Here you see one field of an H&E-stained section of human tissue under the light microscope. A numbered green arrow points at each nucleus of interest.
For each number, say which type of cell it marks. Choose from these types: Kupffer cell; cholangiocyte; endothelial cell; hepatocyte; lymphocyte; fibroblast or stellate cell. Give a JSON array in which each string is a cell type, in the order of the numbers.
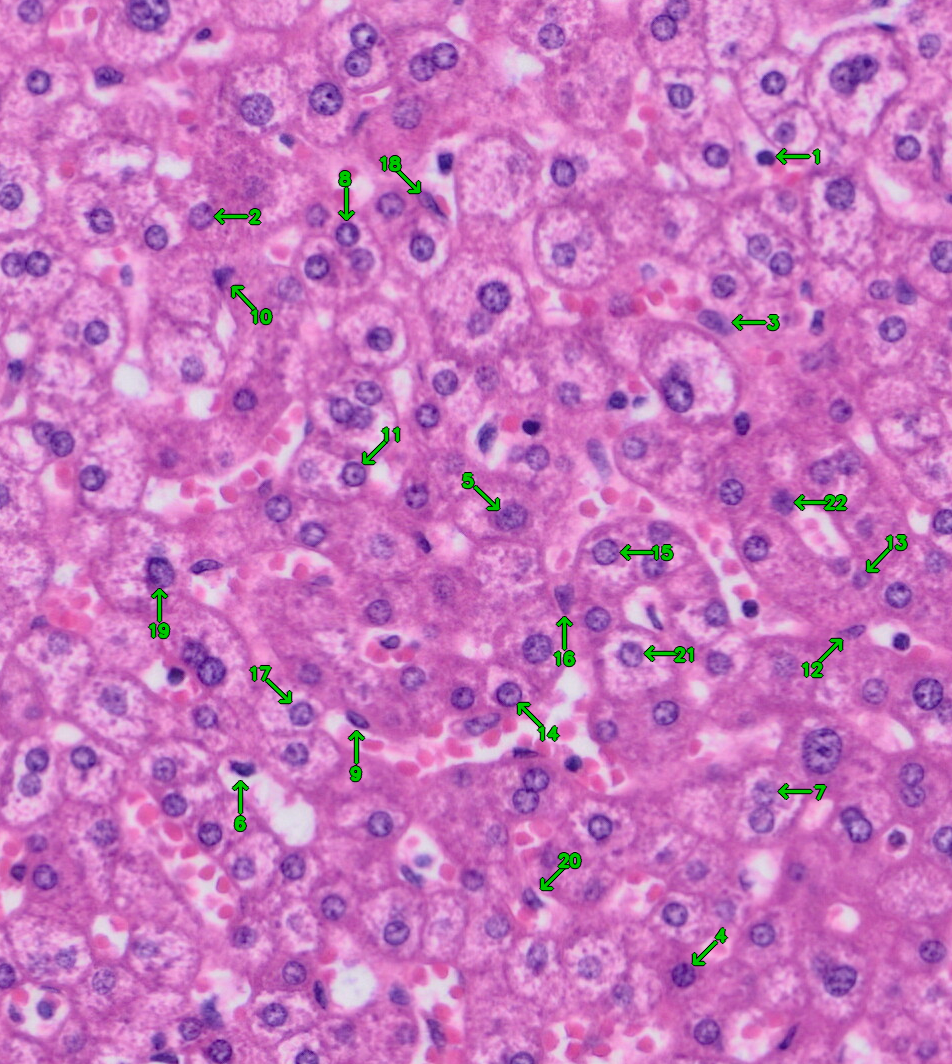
["lymphocyte", "hepatocyte", "Kupffer cell", "hepatocyte", "hepatocyte", "lymphocyte", "hepatocyte", "hepatocyte", "Kupffer cell", "fibroblast or stellate cell", "hepatocyte", "fibroblast or stellate cell", "hepatocyte", "hepatocyte", "hepatocyte", "endothelial cell", "hepatocyte", "Kupffer cell", "hepatocyte", "Kupffer cell", "hepatocyte", "endothelial cell"]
